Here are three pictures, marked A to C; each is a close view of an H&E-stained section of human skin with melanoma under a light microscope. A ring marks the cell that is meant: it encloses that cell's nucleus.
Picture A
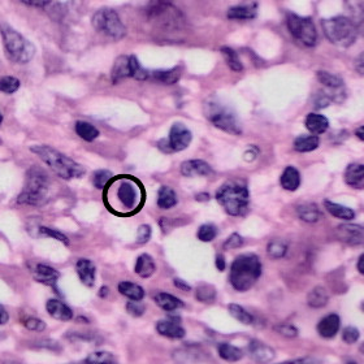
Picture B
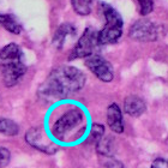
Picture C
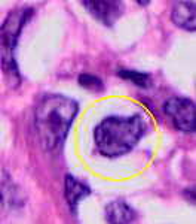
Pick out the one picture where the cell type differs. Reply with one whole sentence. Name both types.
Picture A differs, because its cell is a lymphocyte and the rest are melanoma cells.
